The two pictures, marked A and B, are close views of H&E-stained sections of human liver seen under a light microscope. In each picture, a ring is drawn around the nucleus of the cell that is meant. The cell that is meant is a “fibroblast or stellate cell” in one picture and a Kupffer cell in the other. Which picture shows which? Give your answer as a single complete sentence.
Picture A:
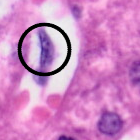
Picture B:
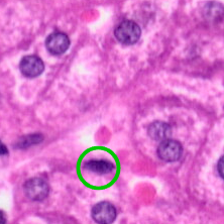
The cell in picture A is a Kupffer cell, and the one in picture B is a “fibroblast or stellate cell”.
